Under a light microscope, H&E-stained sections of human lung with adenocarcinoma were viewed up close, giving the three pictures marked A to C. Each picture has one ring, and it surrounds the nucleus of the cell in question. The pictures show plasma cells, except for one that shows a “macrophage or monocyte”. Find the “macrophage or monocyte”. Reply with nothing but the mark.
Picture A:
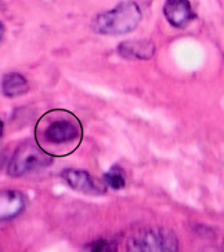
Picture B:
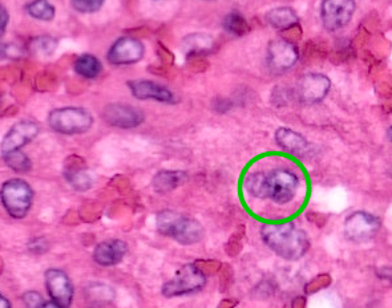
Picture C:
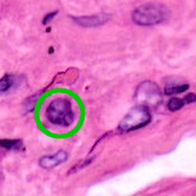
B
